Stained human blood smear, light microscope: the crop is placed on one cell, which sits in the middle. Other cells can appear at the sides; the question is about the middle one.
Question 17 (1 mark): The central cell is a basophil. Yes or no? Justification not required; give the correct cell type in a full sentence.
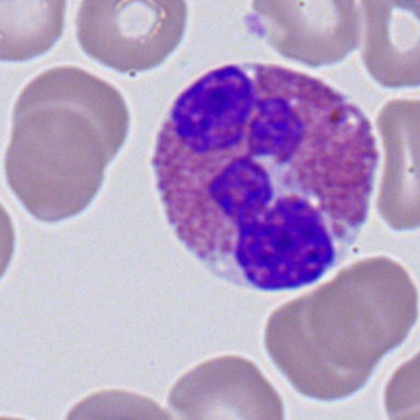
No, the cell in the middle is not a basophil but an eosinophil.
